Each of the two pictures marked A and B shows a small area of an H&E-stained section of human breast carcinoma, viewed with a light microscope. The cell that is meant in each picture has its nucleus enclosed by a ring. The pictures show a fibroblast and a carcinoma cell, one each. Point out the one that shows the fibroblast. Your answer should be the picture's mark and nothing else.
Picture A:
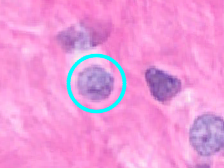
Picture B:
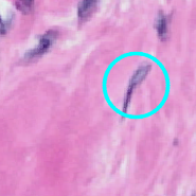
B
